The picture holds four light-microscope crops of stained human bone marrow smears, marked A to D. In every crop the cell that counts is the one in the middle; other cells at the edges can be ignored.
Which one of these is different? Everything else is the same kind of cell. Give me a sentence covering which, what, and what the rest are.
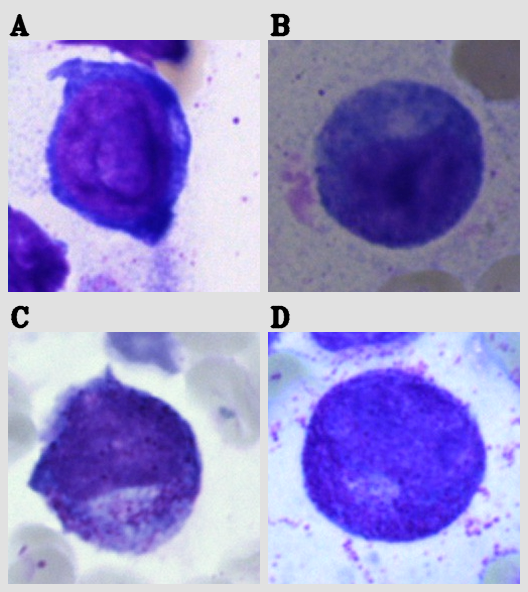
With the other crops all showing promyelocytes, crop A differs by showing a proerythroblast.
